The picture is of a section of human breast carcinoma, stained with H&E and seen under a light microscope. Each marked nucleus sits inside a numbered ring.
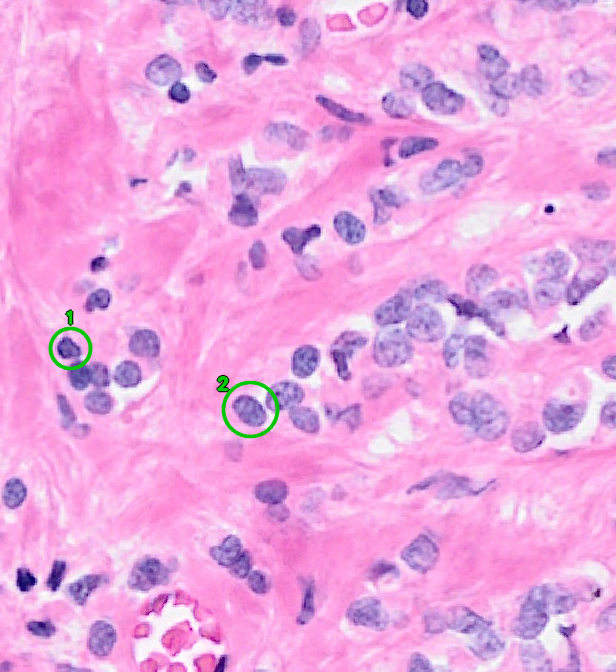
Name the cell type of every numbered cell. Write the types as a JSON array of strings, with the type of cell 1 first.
["lymphocyte", "carcinoma cell"]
